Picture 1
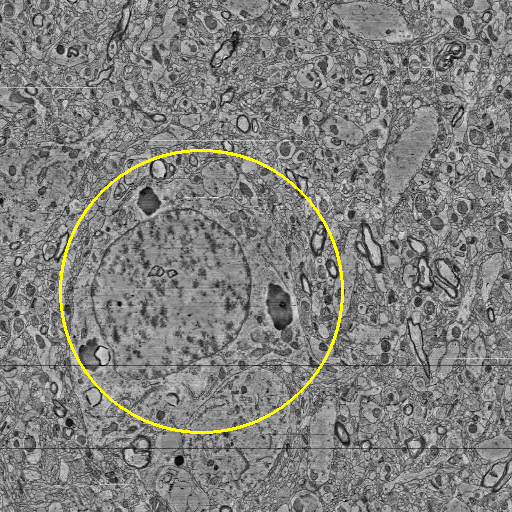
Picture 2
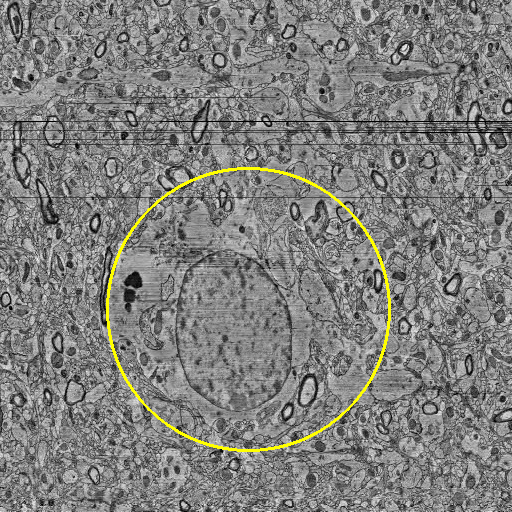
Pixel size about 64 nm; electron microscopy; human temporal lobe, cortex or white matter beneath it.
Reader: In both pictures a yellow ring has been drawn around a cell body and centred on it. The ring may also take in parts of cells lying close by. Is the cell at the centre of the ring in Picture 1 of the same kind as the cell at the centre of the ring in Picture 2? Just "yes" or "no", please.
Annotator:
no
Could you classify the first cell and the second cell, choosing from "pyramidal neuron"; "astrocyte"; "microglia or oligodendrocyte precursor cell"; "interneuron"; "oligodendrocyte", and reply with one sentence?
The second cell is an astrocyte, while the first is an interneuron.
